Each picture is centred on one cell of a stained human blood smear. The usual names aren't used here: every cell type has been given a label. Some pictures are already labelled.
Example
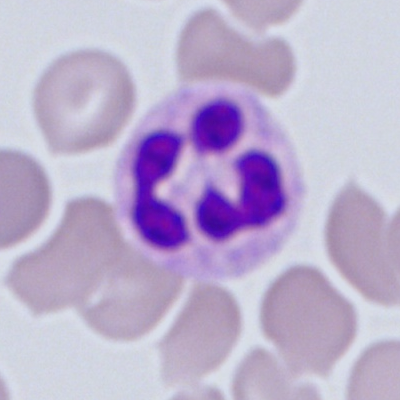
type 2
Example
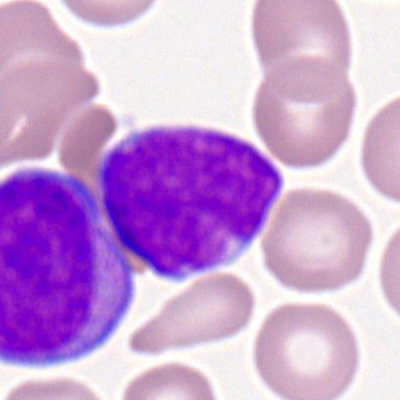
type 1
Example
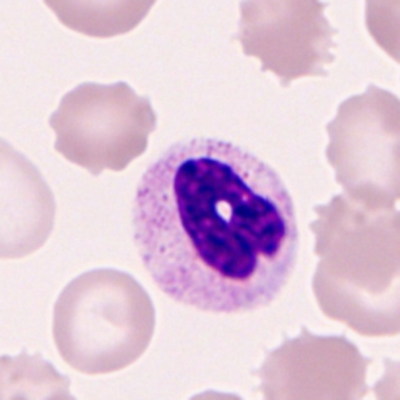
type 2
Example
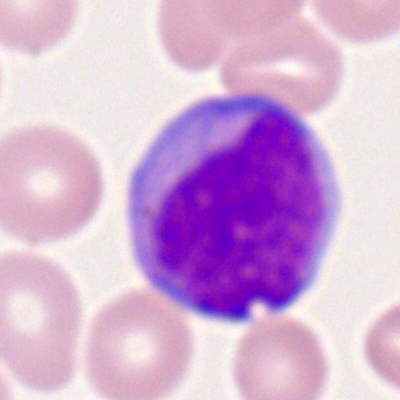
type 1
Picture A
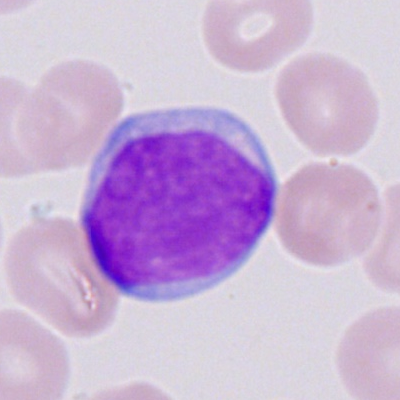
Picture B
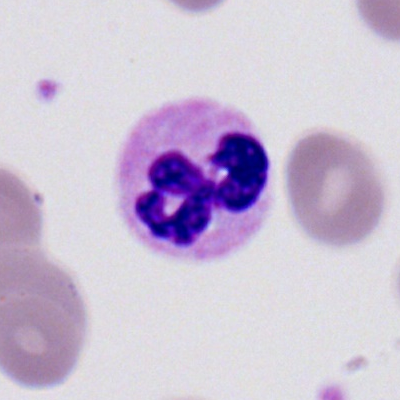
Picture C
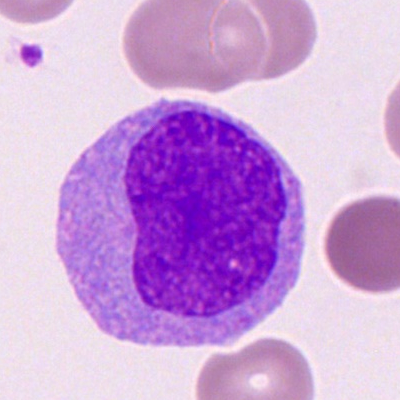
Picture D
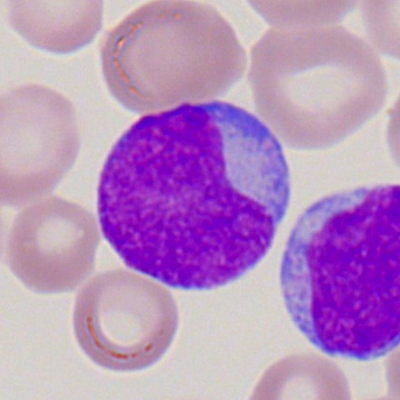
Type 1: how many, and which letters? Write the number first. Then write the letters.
Count: 3 (A, C, D)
